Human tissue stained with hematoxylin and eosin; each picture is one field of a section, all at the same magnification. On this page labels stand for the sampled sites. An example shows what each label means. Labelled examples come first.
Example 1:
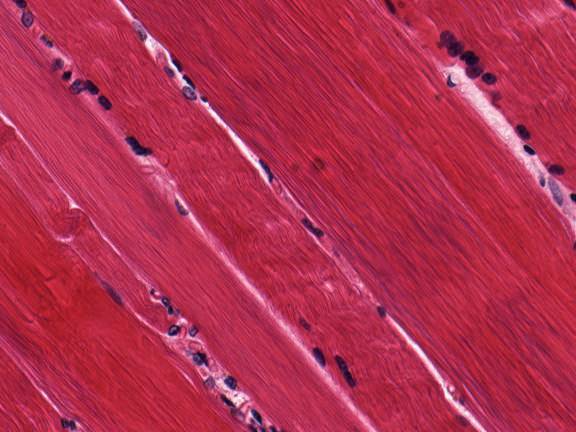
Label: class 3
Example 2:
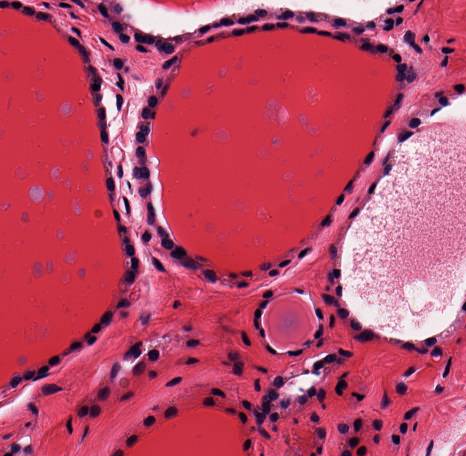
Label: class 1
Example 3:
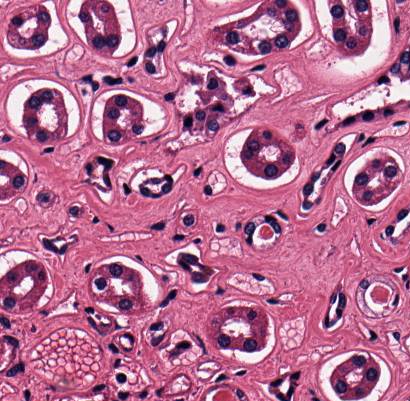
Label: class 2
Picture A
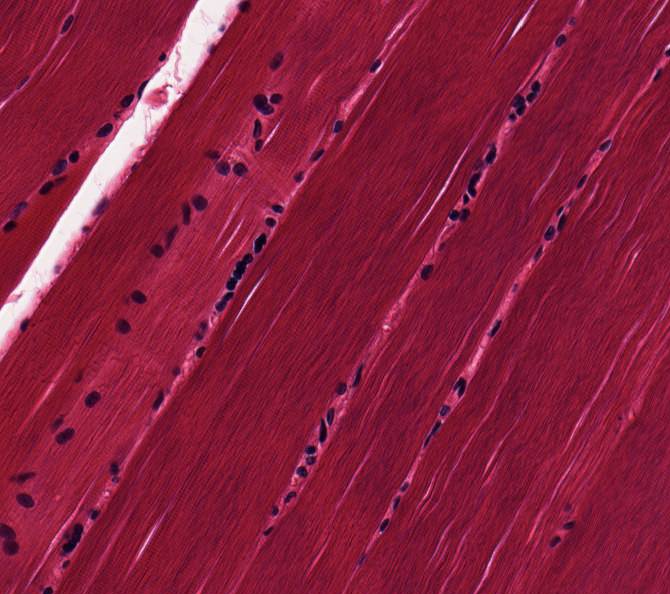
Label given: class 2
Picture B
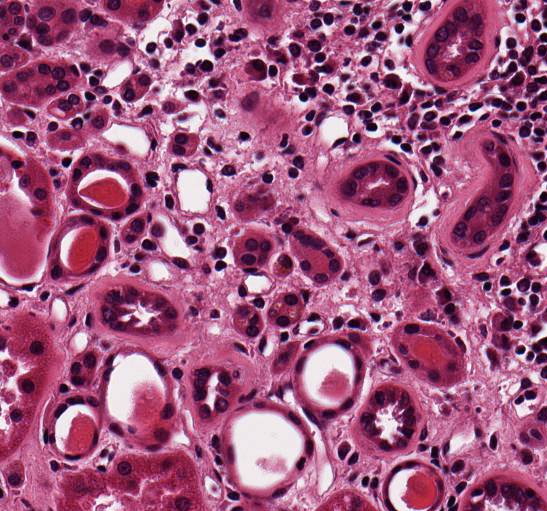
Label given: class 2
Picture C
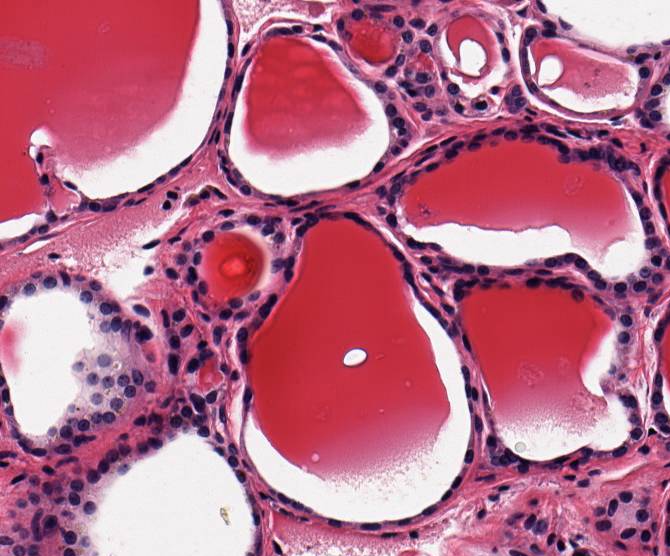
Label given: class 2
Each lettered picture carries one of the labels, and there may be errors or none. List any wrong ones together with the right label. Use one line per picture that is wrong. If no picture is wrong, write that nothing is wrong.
A should be class 3, not class 2
C should be class 1, not class 2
